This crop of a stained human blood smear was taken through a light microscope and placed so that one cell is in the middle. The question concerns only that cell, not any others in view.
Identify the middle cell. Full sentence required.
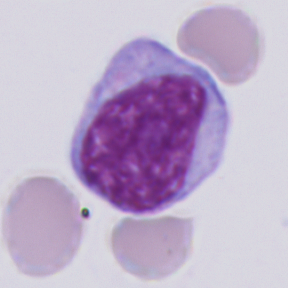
The cell at the middle of the crop is recognized as a plasma cell.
